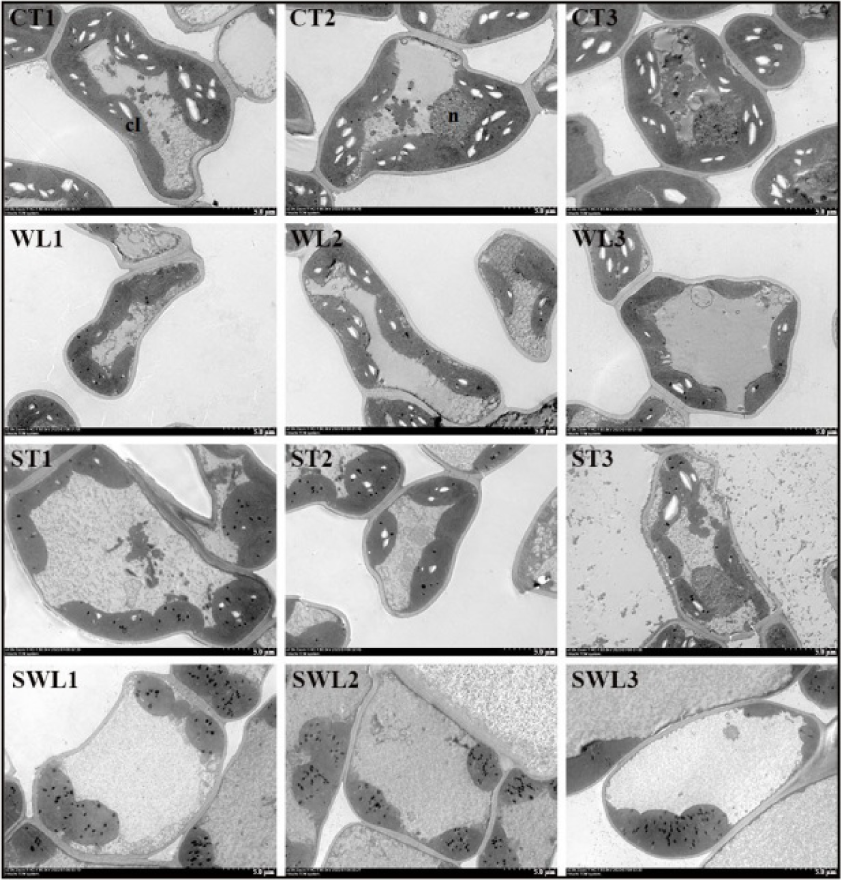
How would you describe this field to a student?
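Plant cells with thick walls and a large pale central vacuole, lined at their periphery by many dark, lens-shaped chloroplasts in a thin layer of cytoplasm. Several chloroplasts contain white, electron-lucent oval starch granules, whereas others hold mostly small, dark, round osmiophilic plastoglobuli. A nucleus sits in the cytoplasm of some cells.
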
